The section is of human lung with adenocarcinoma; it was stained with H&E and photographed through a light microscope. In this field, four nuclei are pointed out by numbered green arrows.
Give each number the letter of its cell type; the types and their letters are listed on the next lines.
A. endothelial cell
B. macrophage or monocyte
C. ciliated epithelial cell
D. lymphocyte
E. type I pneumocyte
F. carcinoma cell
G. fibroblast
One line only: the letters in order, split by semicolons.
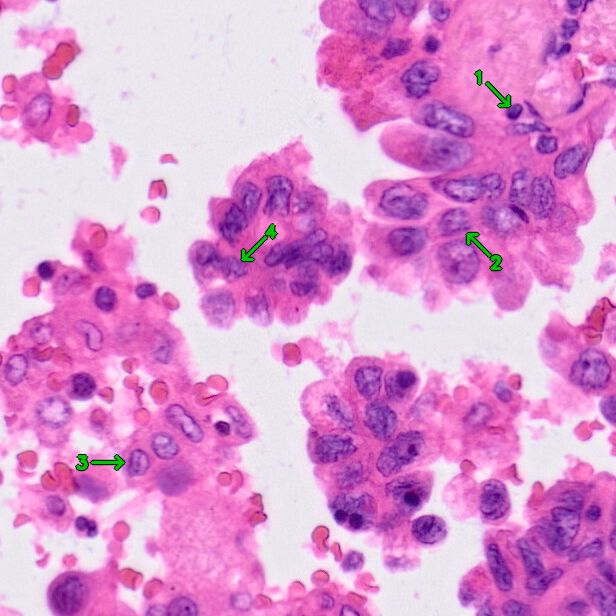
D; F; B; F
